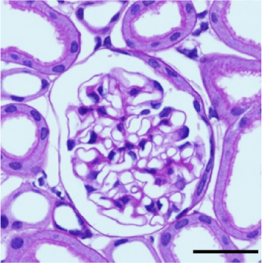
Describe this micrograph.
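A glomerulus is seen in the kidney cortex, a round tuft of thin capillary loops outlined by pink basement membranes, with dark purple nuclei scattered along the loops and open lumens between them. A clear Bowman's space separates the tuft from the thin capsule. Around it lie cross-sections of renal tubules lined by cuboidal epithelial cells with pink cytoplasm and round nuclei, their lumens empty and of normal width. The interstitium between the tubules is narrow.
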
